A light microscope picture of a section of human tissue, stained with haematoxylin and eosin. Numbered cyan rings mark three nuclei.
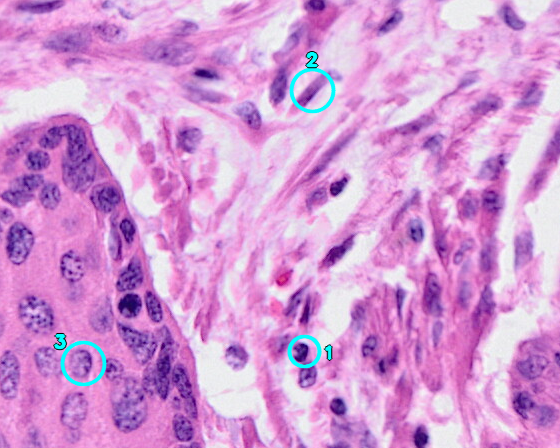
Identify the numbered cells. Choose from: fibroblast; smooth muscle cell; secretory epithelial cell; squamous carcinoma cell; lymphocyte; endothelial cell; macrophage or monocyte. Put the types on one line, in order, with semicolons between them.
lymphocyte; fibroblast; squamous carcinoma cell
